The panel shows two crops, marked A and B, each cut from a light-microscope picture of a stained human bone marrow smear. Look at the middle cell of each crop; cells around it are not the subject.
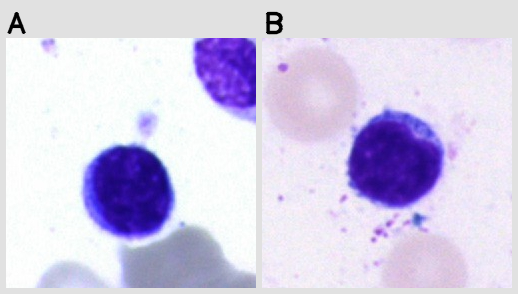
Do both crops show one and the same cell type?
yes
